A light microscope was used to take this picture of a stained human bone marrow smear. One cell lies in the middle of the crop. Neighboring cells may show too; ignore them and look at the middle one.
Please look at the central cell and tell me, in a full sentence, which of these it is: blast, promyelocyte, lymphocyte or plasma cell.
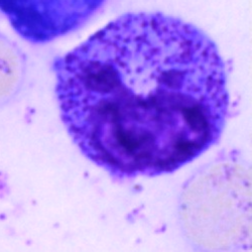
On this slide crop, the central cell is a promyelocyte.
